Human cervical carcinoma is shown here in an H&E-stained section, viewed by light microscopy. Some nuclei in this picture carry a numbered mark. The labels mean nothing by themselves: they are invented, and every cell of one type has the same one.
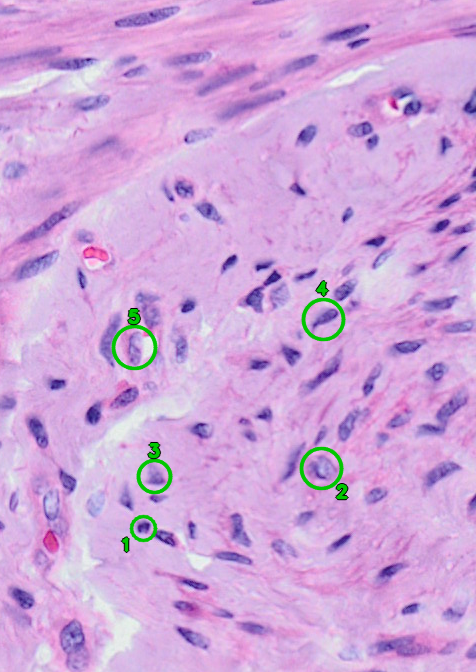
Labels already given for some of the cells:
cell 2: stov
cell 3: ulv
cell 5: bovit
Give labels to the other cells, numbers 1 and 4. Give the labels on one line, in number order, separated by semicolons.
ulv; ulv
